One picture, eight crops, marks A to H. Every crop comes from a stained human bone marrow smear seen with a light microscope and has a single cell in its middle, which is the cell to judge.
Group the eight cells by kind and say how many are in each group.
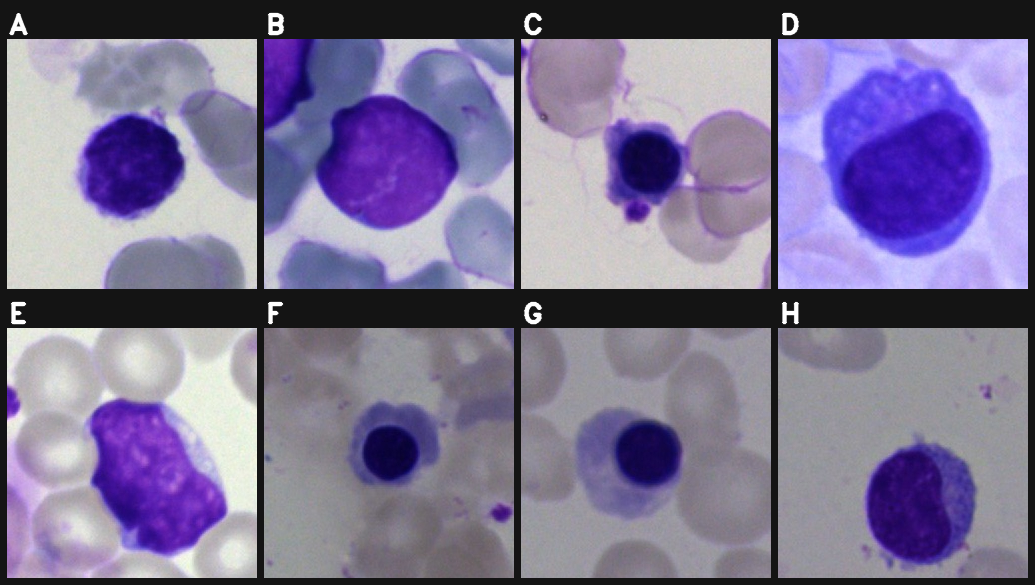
blast: 3
normoblast: 3
lymphocyte: 2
